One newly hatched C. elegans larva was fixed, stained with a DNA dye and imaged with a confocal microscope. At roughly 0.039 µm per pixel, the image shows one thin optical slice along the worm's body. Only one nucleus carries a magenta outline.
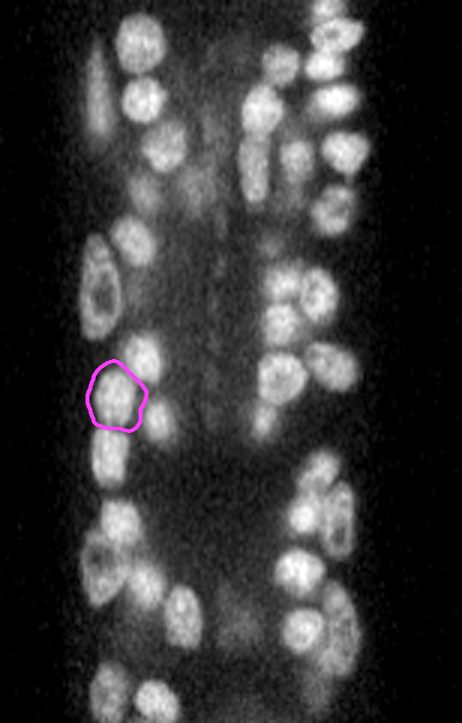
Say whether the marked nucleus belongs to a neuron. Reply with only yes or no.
yes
